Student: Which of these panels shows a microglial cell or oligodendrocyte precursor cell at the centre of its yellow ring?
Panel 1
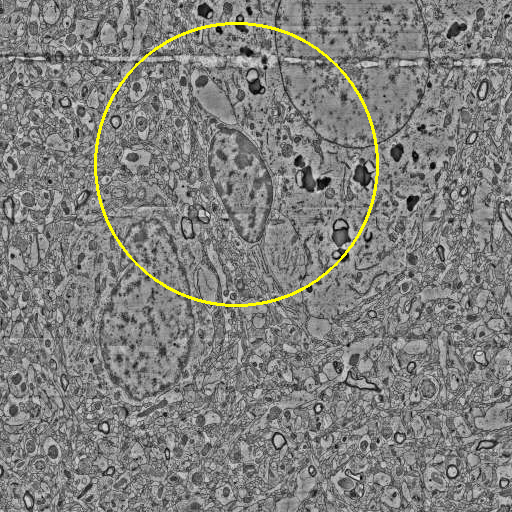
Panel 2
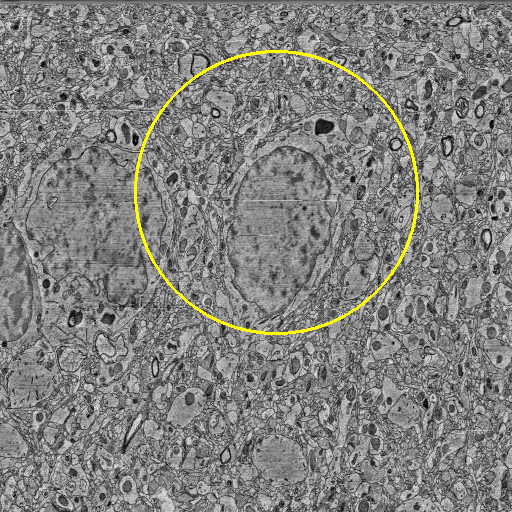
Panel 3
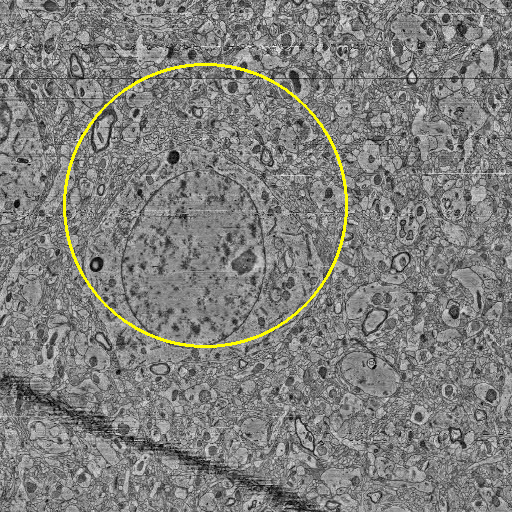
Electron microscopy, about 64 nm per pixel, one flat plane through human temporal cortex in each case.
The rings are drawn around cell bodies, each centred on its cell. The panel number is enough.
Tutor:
1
